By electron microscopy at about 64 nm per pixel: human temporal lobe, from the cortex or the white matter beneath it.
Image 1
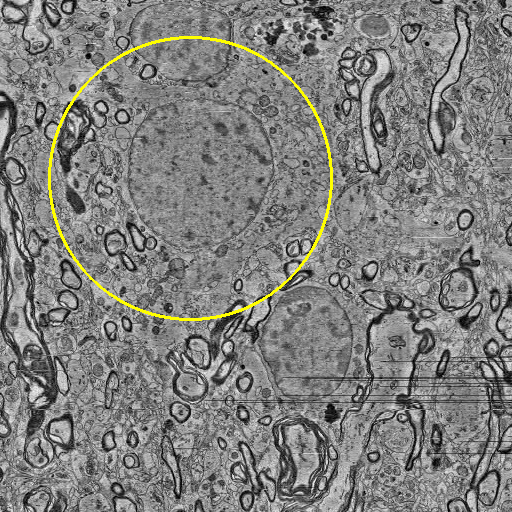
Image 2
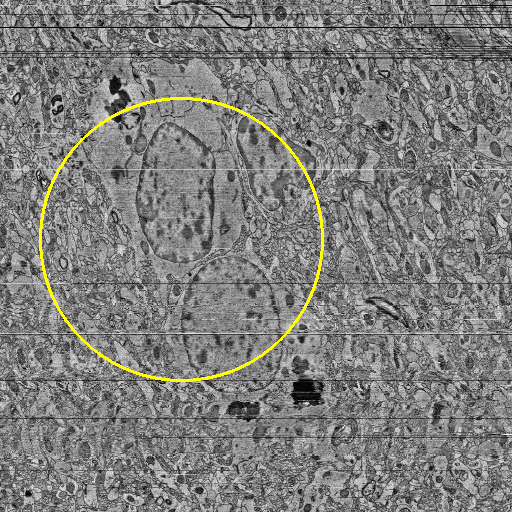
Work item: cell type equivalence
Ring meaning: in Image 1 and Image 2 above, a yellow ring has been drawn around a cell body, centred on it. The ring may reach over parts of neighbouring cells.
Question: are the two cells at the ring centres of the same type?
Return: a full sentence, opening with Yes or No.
Yes, the two centred cells are of the same type.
